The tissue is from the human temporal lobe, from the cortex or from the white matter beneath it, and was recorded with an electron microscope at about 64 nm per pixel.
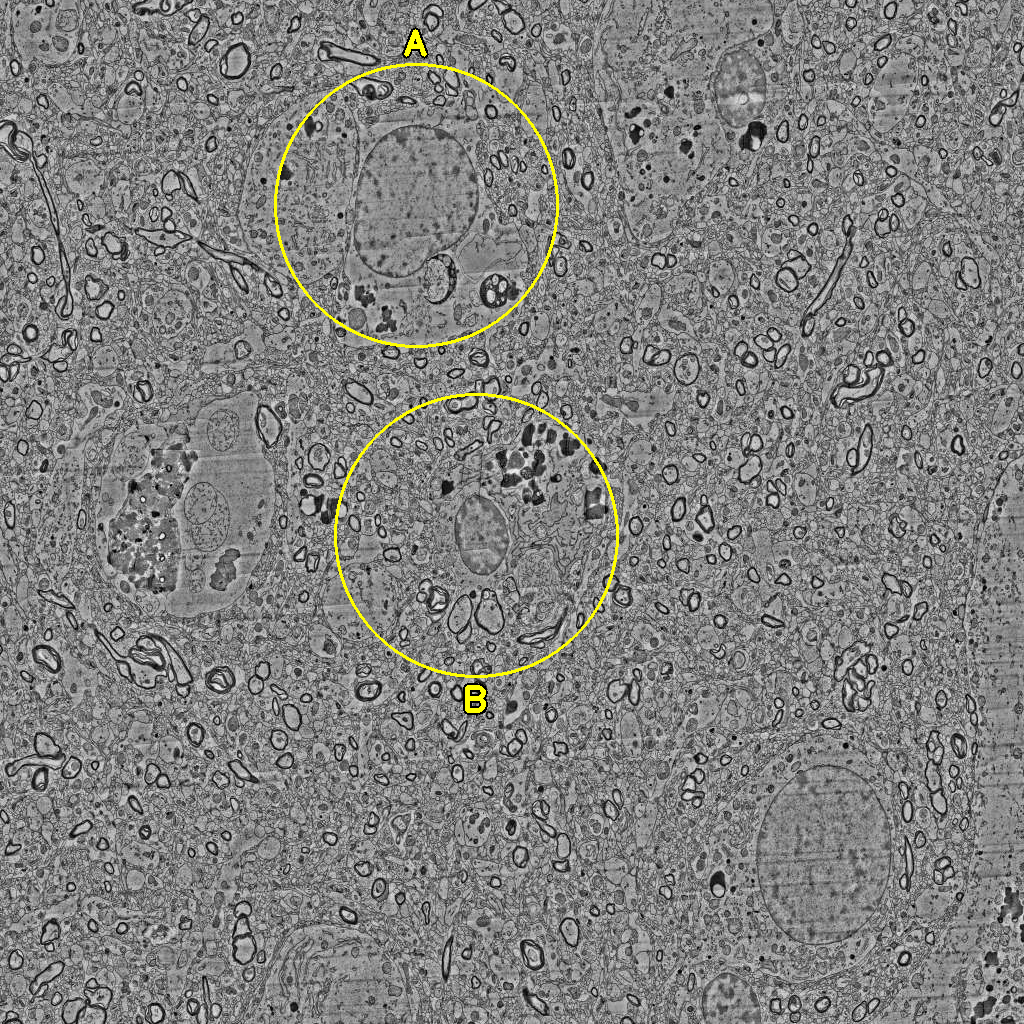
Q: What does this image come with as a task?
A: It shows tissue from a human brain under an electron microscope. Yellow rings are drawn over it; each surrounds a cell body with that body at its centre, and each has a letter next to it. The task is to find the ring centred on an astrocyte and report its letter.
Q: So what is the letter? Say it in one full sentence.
It is A, the letter of the ring centred on the cell asked for in the picture.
